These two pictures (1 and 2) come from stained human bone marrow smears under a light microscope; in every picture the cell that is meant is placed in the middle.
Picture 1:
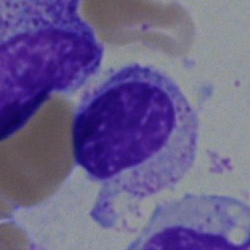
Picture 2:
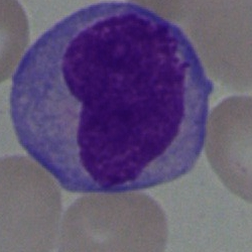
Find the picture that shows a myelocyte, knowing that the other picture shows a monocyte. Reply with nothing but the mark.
1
